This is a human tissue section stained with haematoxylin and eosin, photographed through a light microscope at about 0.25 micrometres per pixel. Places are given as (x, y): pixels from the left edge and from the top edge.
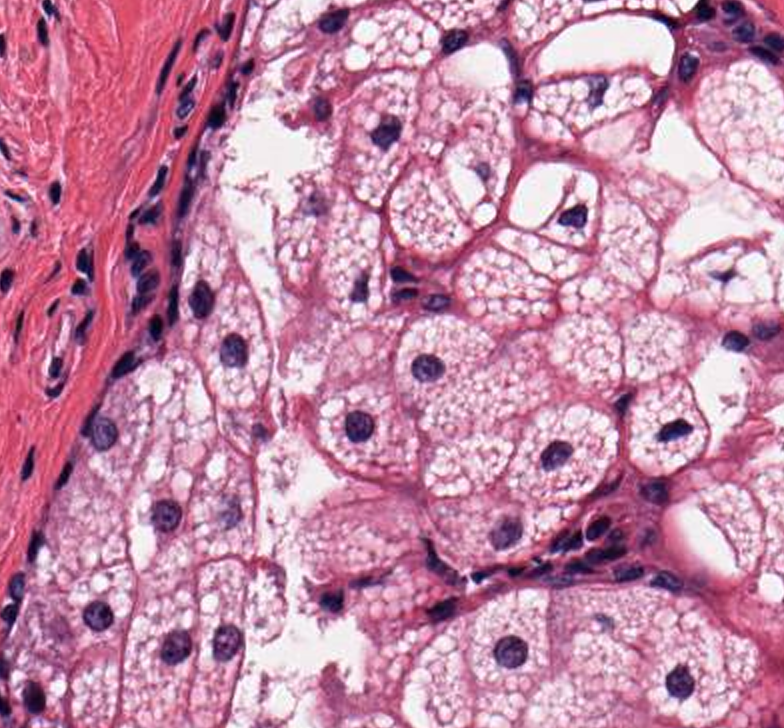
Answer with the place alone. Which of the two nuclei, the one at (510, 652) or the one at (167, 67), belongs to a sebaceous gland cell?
(510, 652)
